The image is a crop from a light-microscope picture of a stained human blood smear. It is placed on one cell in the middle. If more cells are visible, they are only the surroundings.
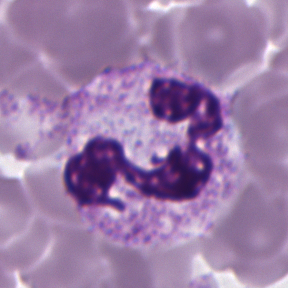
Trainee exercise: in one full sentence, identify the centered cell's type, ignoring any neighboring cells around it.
The central cell, amid any neighbouring cells, is a segmented neutrophil.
